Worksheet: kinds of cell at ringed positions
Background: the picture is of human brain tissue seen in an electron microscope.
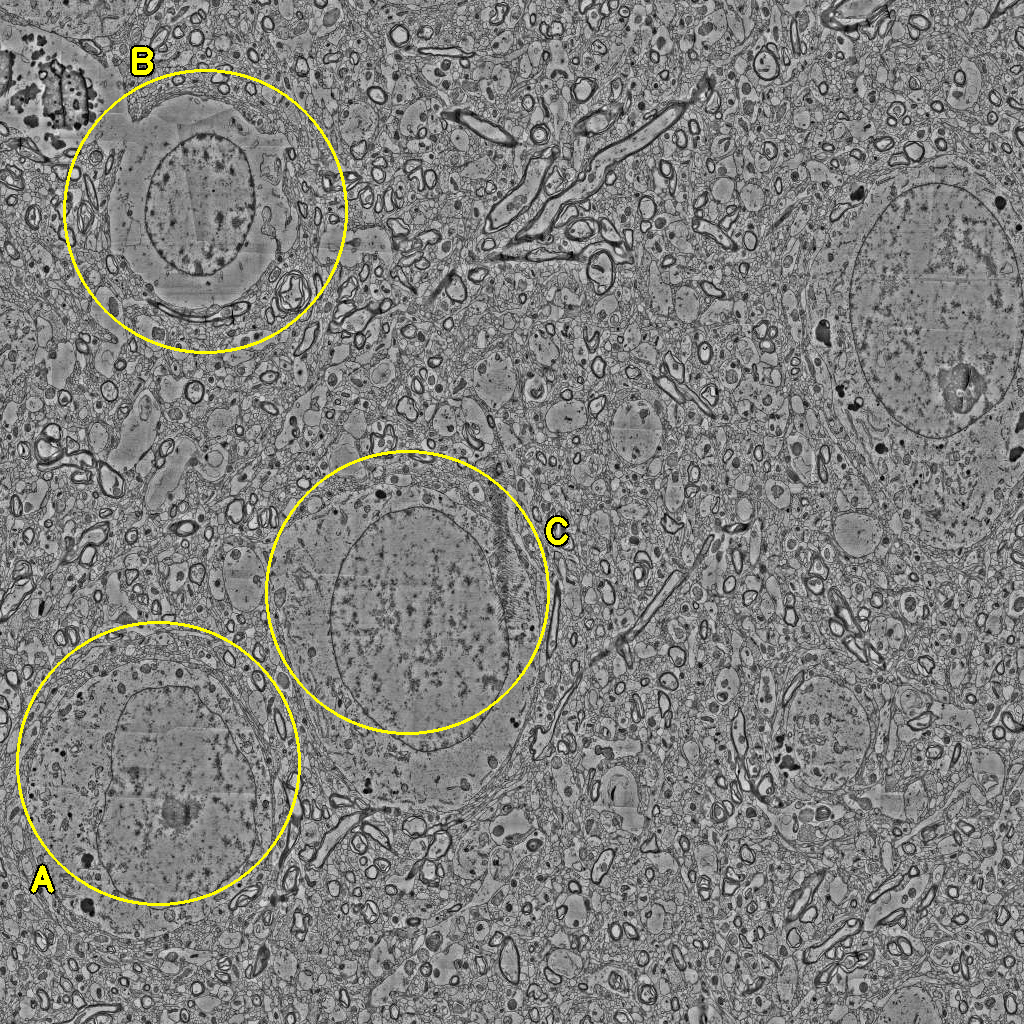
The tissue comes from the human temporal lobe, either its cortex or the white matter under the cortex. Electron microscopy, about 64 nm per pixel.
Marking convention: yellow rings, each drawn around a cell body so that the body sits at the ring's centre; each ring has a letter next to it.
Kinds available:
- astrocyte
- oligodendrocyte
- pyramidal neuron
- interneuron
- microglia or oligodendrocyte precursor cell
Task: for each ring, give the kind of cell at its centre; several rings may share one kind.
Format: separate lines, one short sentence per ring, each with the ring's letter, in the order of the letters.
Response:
Ring A is drawn around a pyramidal neuron.
Ring B is drawn around an astrocyte.
Ring C is drawn around a pyramidal neuron.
